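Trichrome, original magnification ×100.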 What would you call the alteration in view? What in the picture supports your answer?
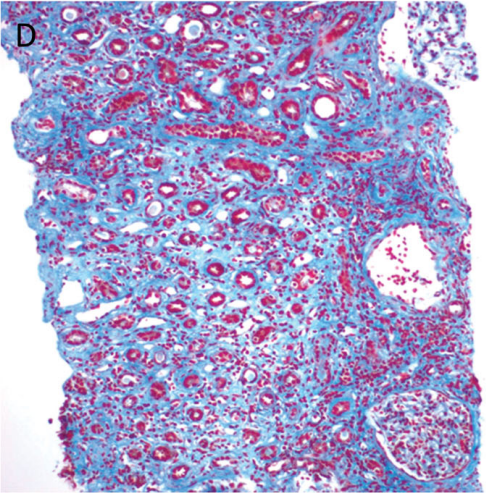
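Tubular atrophy. Many tubules are small with narrow outlines and are widely separated. Some tubules have thin walls and contain pale casts.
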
